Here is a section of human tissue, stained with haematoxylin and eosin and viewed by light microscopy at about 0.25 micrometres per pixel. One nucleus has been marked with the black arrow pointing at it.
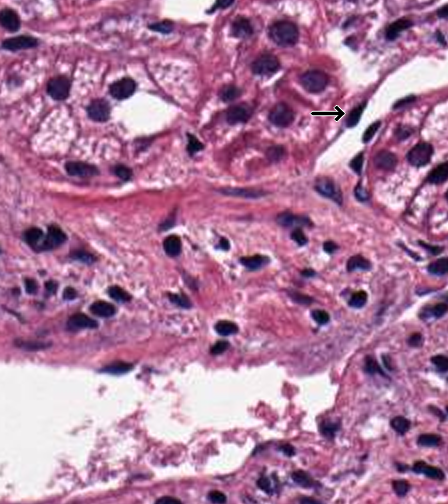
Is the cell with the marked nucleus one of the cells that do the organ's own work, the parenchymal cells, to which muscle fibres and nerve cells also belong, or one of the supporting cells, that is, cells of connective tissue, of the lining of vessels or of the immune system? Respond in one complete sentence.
A supporting cell contains the marked nucleus.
